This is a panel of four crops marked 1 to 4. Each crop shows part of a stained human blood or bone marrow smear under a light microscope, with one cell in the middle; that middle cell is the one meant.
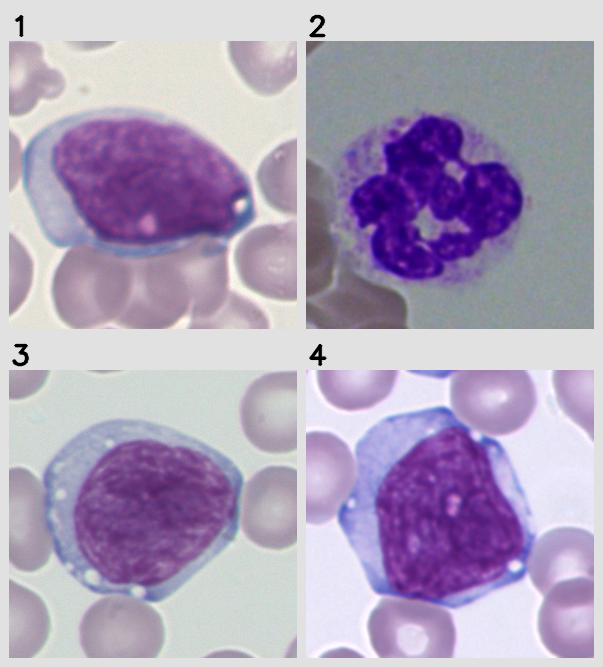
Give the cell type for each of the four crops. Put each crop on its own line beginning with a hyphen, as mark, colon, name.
- 1: blast
- 2: segmented neutrophil
- 3: blast
- 4: blast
